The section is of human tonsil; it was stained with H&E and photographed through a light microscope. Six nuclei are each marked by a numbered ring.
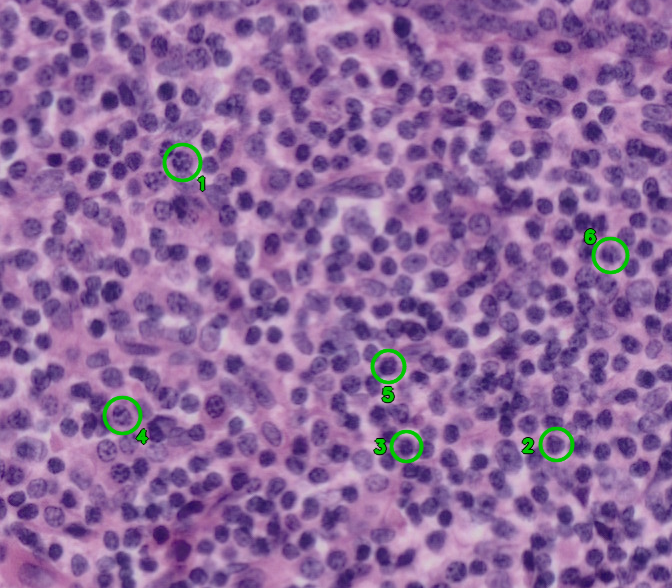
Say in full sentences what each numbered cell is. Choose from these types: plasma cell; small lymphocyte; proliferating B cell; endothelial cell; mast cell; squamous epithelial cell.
Cell 1 is a plasma cell, cell 2 is a small lymphocyte, cell 3 is a small lymphocyte, cell 4 is a plasma cell, cell 5 is a small lymphocyte and cell 6 is a small lymphocyte.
